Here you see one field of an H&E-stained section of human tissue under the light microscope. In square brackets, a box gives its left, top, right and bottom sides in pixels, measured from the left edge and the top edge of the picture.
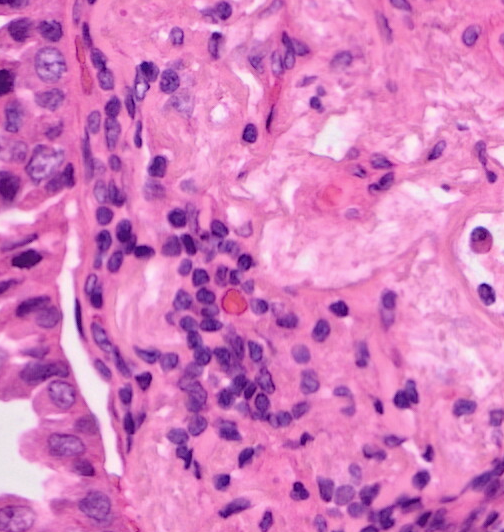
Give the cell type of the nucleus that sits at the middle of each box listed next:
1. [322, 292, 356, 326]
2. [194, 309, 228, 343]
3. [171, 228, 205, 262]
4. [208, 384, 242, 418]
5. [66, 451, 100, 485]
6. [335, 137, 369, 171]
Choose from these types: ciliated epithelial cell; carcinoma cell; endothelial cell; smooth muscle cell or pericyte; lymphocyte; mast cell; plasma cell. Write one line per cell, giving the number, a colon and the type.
1: lymphocyte
2: lymphocyte
3: lymphocyte
4: lymphocyte
5: carcinoma cell
6: smooth muscle cell or pericyte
